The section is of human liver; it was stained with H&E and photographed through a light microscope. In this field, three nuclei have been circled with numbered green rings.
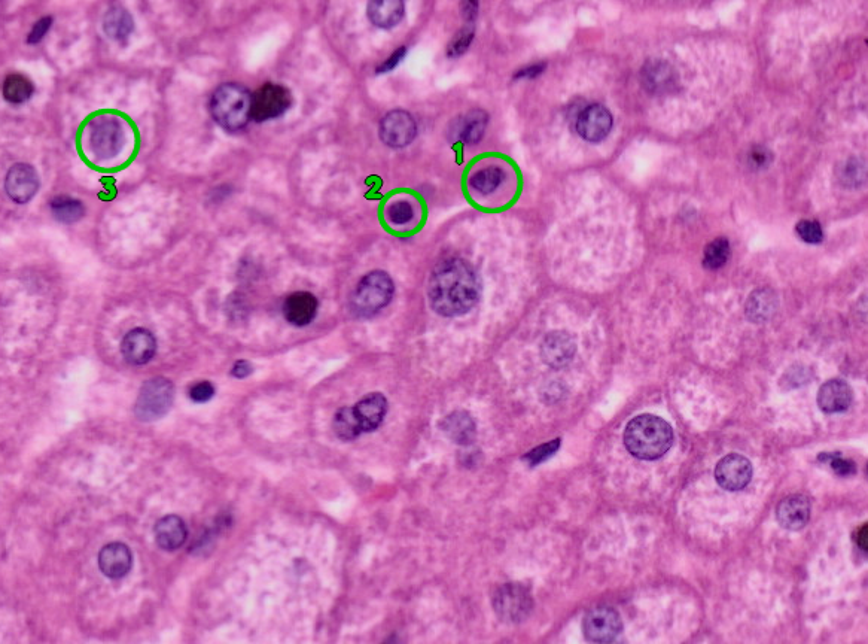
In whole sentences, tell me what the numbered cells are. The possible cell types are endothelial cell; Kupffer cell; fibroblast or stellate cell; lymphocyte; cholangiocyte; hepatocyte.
Cell 1 is a Kupffer cell, cell 2 is a lymphocyte and cell 3 is a hepatocyte.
